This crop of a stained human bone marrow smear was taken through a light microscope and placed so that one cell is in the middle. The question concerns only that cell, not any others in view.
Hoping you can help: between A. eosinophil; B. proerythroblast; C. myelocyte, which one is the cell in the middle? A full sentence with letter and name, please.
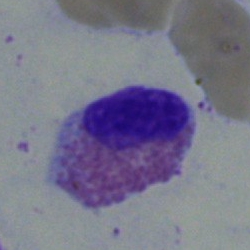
Given that the cell in the middle is an eosinophil, option A is correct.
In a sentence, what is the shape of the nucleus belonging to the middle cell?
See how the nucleus sits as one compact round, oval or kidney-shaped mass.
